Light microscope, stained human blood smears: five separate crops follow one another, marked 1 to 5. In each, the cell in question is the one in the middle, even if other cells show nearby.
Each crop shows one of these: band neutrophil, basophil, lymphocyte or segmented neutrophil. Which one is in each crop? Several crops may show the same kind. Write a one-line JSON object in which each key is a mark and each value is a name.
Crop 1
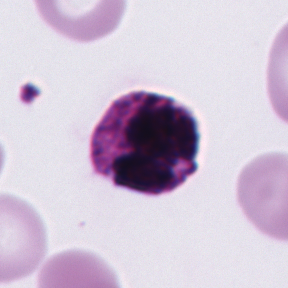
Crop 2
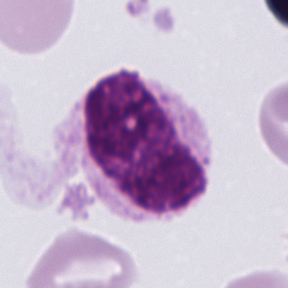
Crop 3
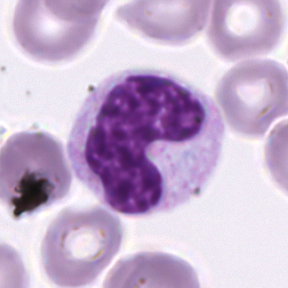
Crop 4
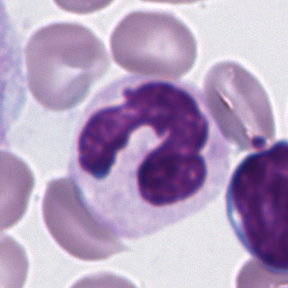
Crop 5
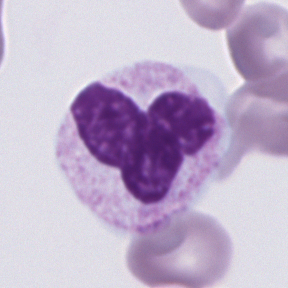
{"1": "basophil", "2": "band neutrophil", "3": "band neutrophil", "4": "band neutrophil", "5": "segmented neutrophil"}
